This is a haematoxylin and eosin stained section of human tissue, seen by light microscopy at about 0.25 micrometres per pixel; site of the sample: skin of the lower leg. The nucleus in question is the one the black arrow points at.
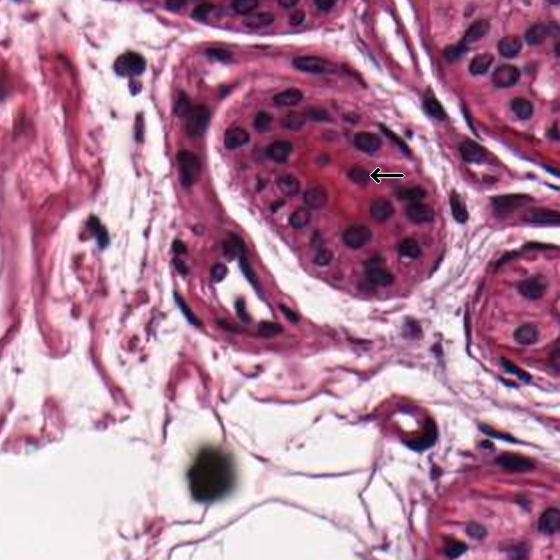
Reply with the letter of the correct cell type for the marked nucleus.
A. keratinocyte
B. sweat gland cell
B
